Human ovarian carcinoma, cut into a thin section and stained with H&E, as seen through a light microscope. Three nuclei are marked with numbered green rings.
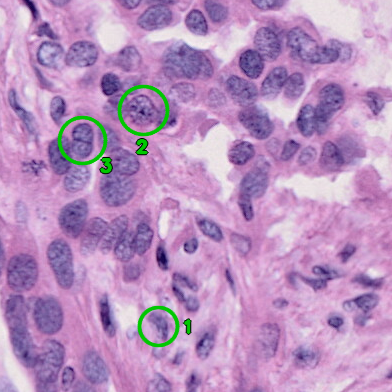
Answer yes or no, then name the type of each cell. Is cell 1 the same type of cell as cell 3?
No, cell 1 is a fibroblast and cell 3 is a carcinoma cell.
